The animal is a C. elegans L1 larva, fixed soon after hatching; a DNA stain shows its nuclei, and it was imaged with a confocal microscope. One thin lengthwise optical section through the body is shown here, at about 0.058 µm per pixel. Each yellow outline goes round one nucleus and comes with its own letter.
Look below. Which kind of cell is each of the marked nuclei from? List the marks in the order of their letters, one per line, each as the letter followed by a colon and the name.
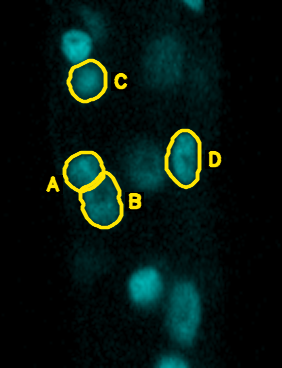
A: body wall muscle cell
B: hypodermal cell (hyp)
C: neuron
D: body wall muscle cell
